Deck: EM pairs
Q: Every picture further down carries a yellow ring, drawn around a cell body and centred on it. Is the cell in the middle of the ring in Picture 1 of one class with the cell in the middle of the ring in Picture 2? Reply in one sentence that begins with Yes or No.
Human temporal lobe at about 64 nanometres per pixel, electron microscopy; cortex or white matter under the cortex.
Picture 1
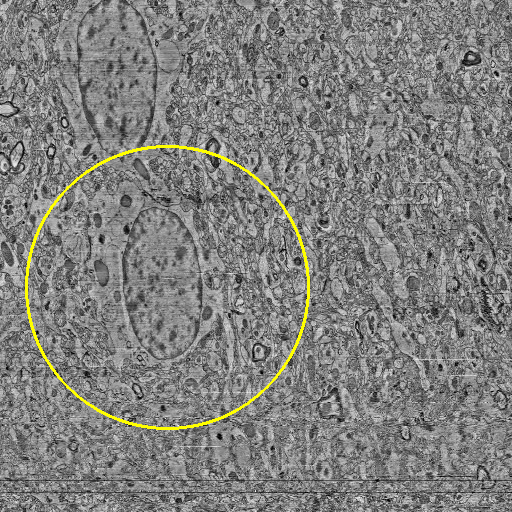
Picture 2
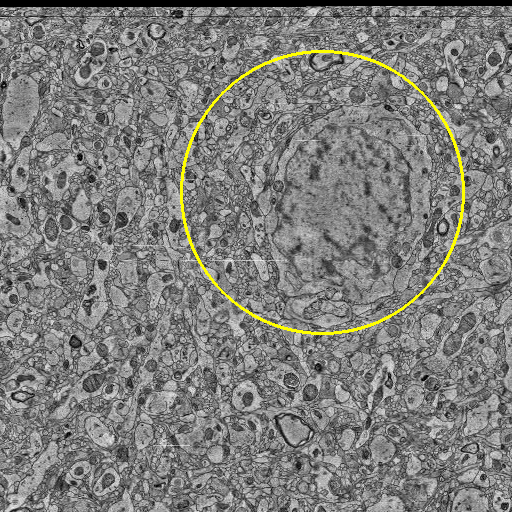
No, the cell centred in the ring of Picture 1 and the one in Picture 2 belong to separate classes.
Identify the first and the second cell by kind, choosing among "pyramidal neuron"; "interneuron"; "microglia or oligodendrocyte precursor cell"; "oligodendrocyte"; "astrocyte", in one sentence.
The one in the first picture is an astrocyte, while the one in the second is an interneuron.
